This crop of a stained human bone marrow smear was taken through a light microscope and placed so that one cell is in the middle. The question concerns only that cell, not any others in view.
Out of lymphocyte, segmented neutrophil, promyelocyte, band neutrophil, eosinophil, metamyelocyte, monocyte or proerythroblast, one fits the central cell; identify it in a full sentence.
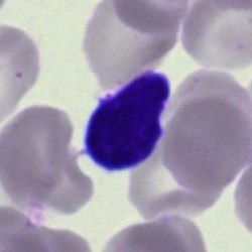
The centered cell in this crop is a lymphocyte.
